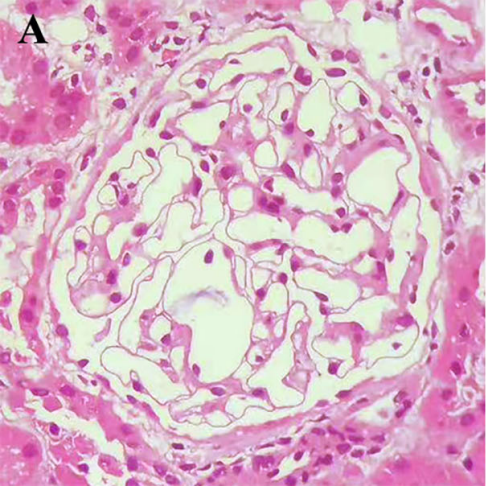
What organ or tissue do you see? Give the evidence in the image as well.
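Glomeruli. A round tuft of looping open capillaries sits in the centre. The tuft is surrounded by a thin capsule and a clear space. Pink tubules with cuboidal epithelium lie around it.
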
